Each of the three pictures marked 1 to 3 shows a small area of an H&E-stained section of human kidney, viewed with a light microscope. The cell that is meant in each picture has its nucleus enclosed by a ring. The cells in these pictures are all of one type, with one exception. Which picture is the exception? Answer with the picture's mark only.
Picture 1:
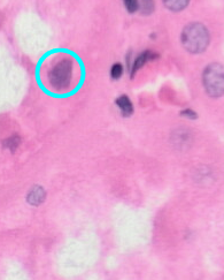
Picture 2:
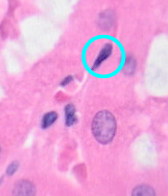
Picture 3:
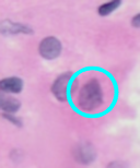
2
